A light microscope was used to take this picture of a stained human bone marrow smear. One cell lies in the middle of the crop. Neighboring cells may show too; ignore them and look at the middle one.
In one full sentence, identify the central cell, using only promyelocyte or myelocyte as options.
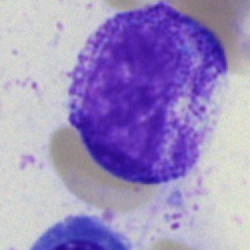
Present in the middle of the crop is a myelocyte.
